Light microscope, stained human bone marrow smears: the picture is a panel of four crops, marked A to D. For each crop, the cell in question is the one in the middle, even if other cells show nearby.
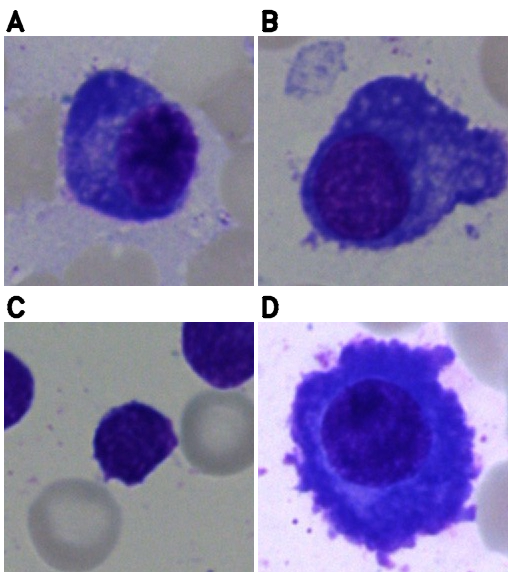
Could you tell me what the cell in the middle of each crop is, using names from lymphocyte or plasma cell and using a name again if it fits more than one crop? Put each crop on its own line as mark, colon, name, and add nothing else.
A: plasma cell
B: plasma cell
C: lymphocyte
D: plasma cell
